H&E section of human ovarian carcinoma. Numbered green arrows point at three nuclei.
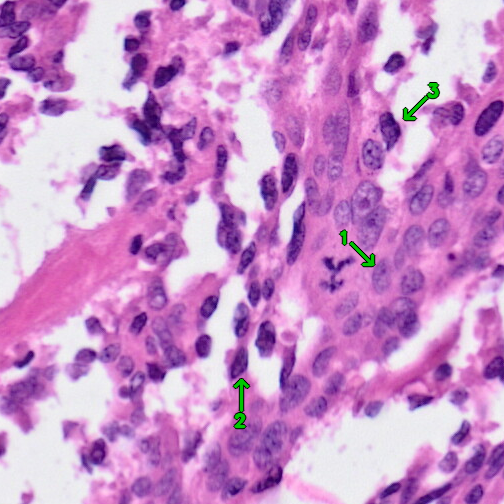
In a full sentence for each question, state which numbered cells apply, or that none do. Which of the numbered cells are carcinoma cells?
The cells that have numbers 1 and 2 are carcinoma cells.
